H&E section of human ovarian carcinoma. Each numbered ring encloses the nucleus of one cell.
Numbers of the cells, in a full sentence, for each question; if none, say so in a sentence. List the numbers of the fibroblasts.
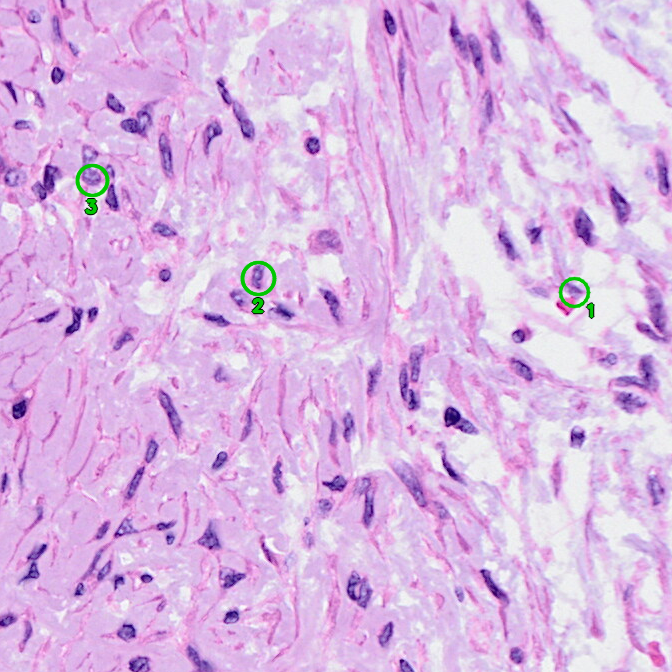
The cells numbered 2 and 3 are, by type, fibroblasts.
